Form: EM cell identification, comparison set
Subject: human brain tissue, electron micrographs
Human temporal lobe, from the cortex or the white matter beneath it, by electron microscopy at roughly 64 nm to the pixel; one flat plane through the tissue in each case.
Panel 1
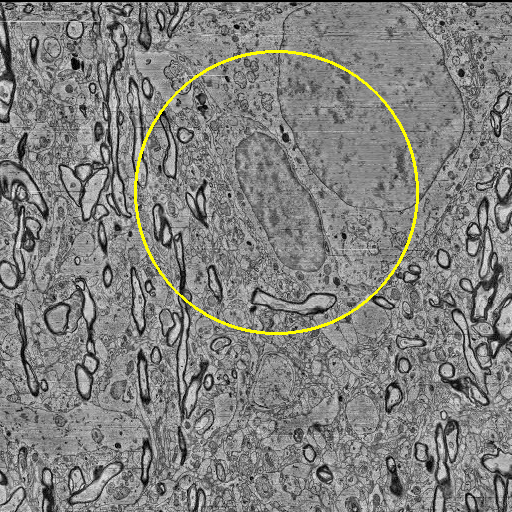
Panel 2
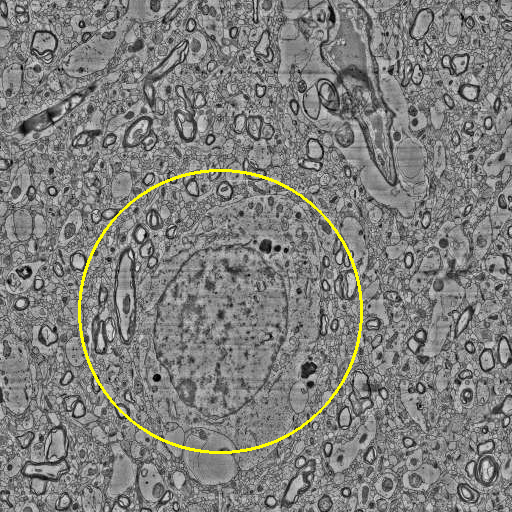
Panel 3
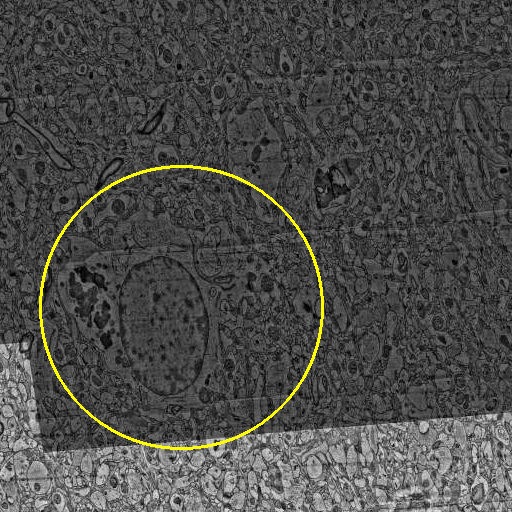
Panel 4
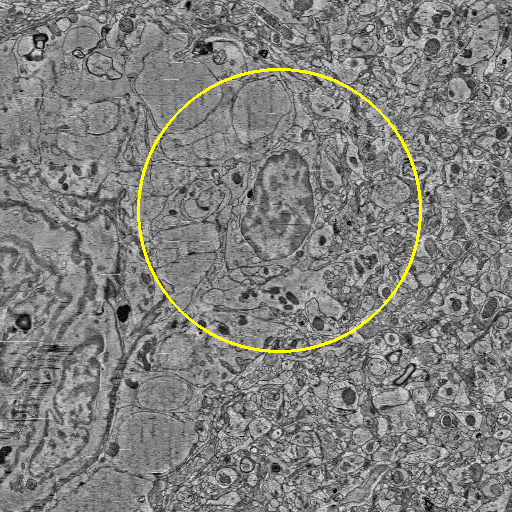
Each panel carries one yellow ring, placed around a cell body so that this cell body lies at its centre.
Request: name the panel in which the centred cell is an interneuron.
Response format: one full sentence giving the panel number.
Panel 2 has it at the centre of its ring.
